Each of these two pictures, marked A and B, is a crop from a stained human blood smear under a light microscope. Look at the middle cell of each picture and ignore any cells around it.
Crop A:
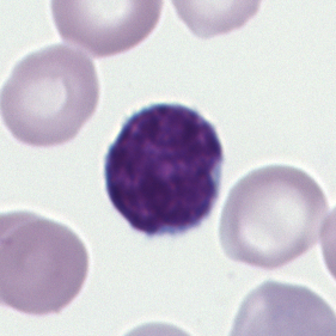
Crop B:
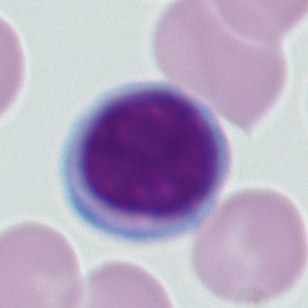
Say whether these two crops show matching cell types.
yes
